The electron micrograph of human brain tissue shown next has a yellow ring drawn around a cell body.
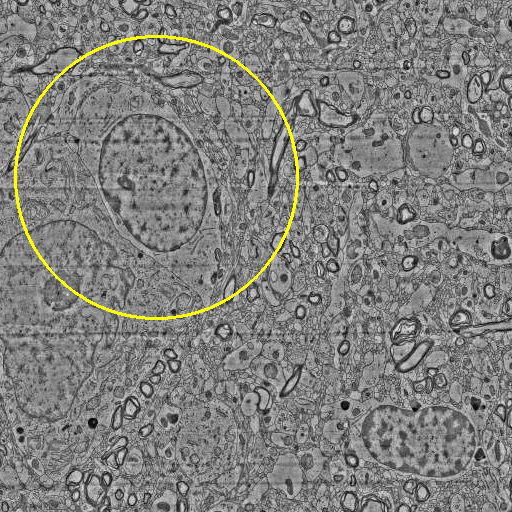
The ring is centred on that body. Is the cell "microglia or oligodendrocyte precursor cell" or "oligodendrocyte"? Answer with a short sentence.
The cell in question is a microglial cell or oligodendrocyte precursor cell.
